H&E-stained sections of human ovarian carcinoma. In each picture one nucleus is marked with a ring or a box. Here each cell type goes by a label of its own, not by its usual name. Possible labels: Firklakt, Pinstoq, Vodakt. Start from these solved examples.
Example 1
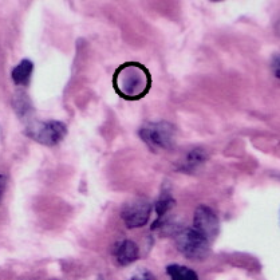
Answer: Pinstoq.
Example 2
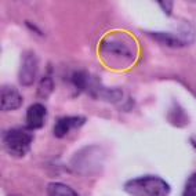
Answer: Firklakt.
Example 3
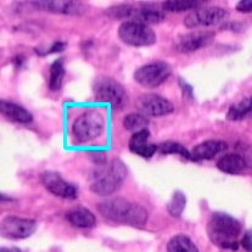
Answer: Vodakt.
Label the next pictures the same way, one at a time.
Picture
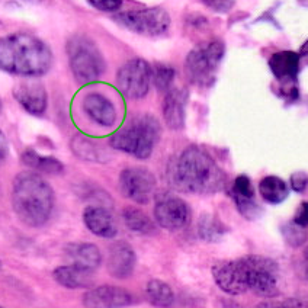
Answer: Vodakt.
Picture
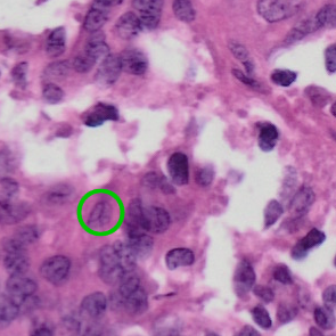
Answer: Firklakt.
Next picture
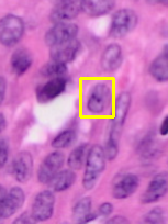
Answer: Vodakt.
